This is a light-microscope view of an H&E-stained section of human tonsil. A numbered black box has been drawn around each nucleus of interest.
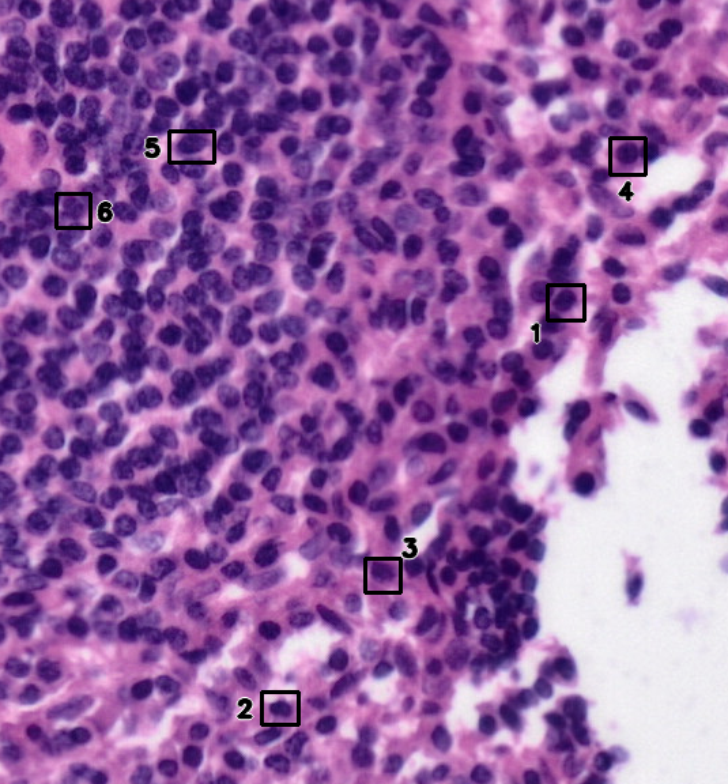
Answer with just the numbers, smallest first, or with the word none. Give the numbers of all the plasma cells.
1, 2, 3, 4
